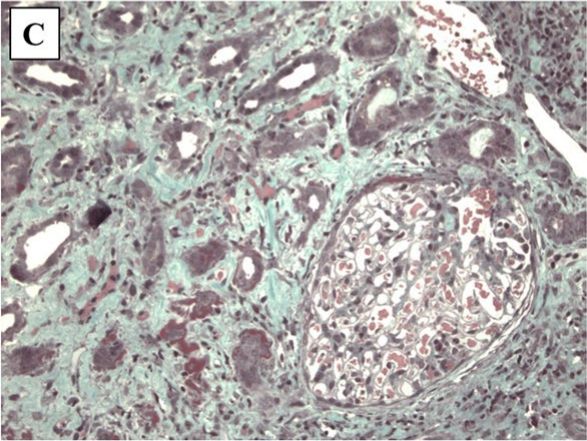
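Kidney cortex with interstitial nephritis: the tubules are pushed apart by widened, blue-green staining interstitium containing scattered small round mononuclear cells. Many tubules have irregular or thinned epithelium and some contain red material, and a glomerulus lies at the lower right.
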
